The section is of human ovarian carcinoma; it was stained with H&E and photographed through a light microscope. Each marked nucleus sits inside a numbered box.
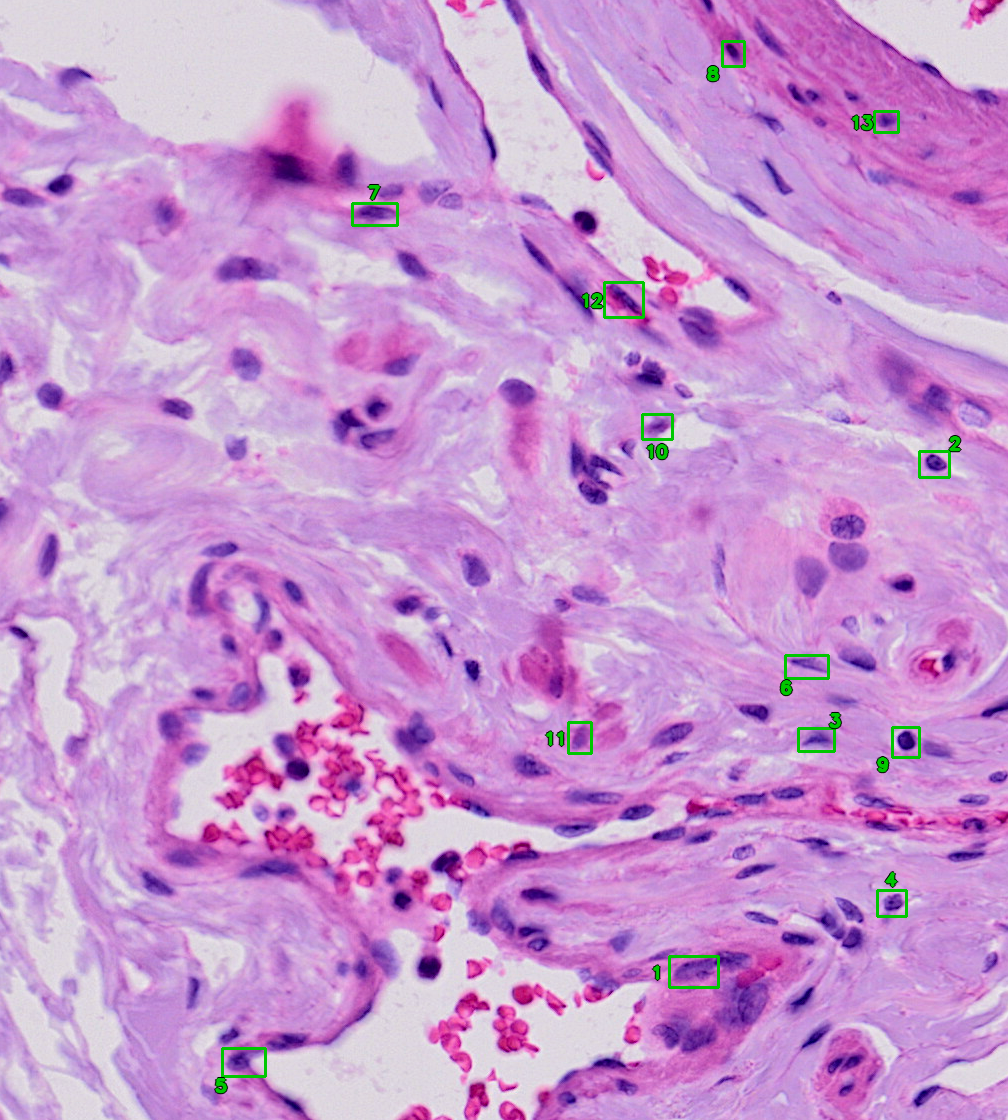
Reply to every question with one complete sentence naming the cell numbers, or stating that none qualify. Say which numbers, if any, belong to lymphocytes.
The cells picked out by numbers 2, 4 and 9 are lymphocytes.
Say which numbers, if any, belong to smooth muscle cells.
When it comes to cells 8, 11 and 13, they are smooth muscle cells.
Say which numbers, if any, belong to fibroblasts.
Regarding the numbered cells 3, 6 and 10, these are fibroblasts.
